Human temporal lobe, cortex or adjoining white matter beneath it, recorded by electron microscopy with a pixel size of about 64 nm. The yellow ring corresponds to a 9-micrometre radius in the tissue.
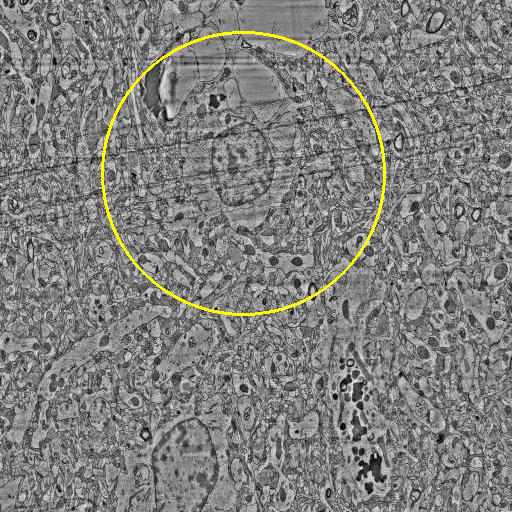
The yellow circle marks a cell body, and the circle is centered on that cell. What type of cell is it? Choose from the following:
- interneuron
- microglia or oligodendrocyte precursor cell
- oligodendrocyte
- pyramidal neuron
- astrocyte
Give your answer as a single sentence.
This cell body belongs to an astrocyte.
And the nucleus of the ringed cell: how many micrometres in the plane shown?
The nucleus of the ringed cell is approximately 5 by 4 micrometres in this plane.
